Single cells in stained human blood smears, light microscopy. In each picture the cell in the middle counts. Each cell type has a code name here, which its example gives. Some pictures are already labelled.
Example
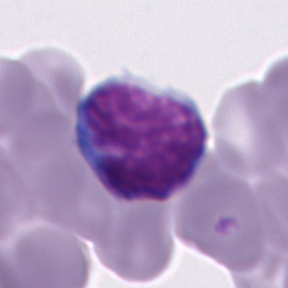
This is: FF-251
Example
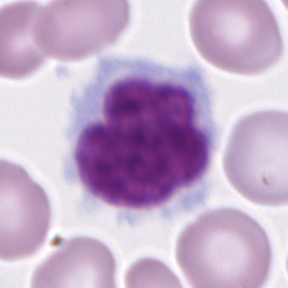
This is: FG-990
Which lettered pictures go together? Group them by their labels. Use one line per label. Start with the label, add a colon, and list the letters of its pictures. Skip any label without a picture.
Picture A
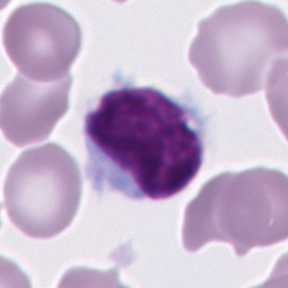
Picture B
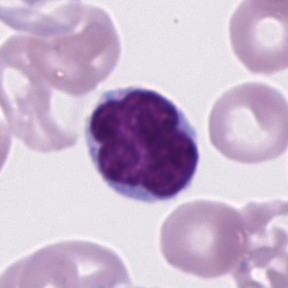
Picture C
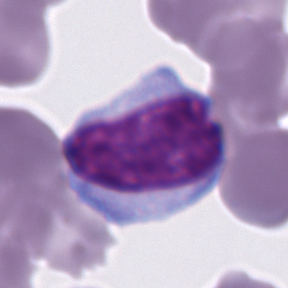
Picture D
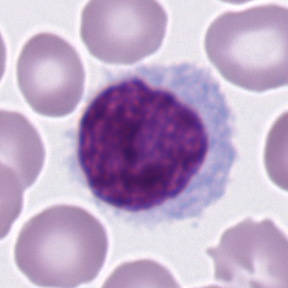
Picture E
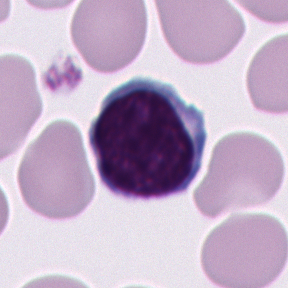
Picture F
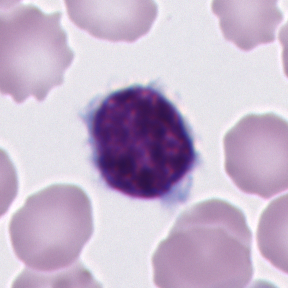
FF-251: B, C, E
FG-990: A, D, F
